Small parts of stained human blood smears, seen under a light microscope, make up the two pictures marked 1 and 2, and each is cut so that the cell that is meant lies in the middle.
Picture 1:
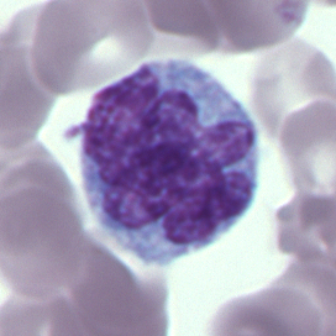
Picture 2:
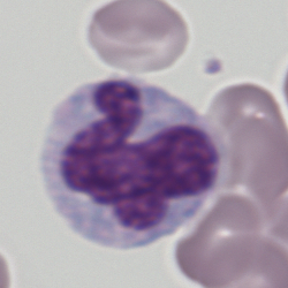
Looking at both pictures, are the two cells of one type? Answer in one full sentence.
Yes, both cells are monocytes.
